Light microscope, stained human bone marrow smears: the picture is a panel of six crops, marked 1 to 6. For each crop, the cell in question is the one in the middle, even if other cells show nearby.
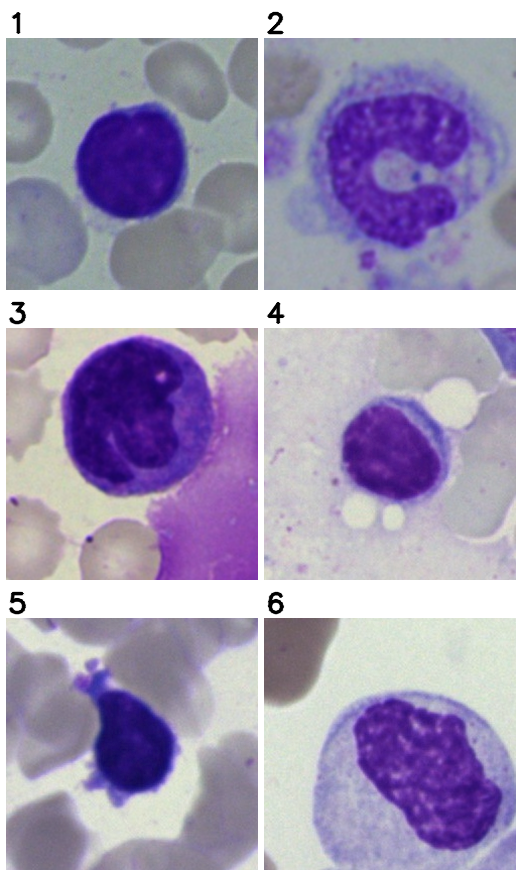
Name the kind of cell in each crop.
1: lymphocyte
2: monocyte
3: monocyte
4: lymphocyte
5: lymphocyte
6: monocyte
